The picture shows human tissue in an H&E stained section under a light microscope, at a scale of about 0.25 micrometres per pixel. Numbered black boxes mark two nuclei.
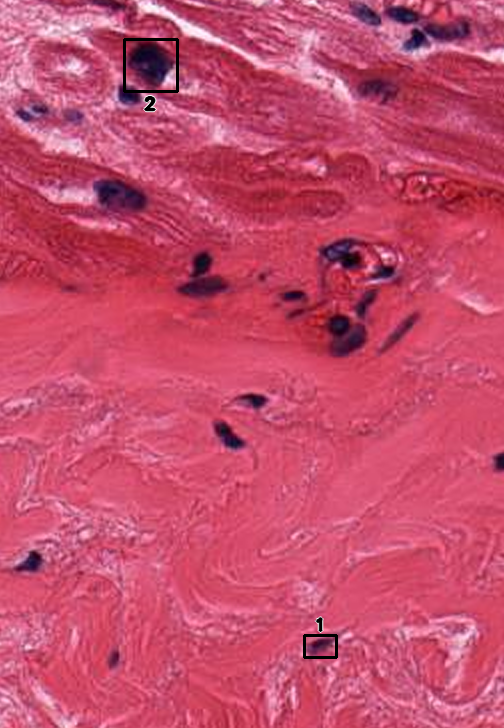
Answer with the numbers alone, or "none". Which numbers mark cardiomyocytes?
2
